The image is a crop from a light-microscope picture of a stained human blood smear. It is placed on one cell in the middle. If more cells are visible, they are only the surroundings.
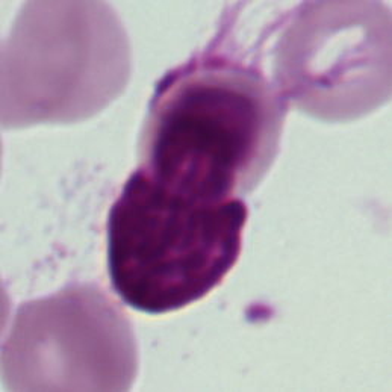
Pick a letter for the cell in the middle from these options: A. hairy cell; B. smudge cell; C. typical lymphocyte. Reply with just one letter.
B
